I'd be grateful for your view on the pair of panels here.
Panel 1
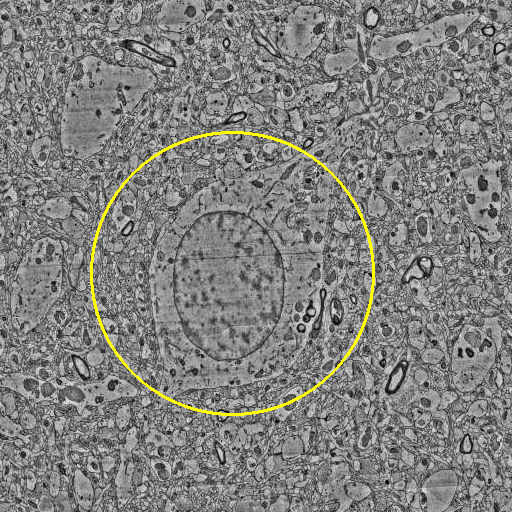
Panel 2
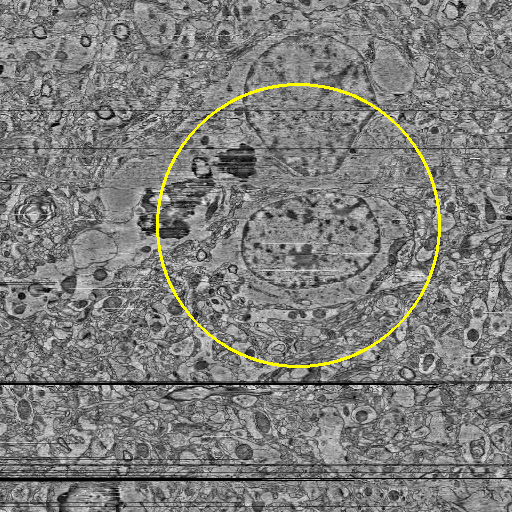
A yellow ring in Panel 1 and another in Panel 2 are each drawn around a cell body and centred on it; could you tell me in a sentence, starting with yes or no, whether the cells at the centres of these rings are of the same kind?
No, they are two kinds of cell.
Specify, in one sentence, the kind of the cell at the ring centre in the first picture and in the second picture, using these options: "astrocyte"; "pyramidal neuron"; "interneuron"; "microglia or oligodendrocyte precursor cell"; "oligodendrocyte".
So the first is a pyramidal neuron, the second an astrocyte.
